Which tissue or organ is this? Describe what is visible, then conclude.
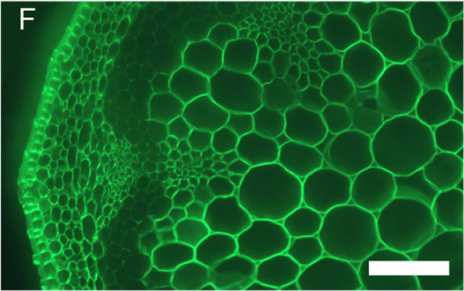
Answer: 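Stem. A curved outer surface bounded by a row of small epidermal cells. Small tightly packed cells of a vascular bundle lie inside the outer cell layers. Large polygonal thin-walled cells fill the central region.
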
